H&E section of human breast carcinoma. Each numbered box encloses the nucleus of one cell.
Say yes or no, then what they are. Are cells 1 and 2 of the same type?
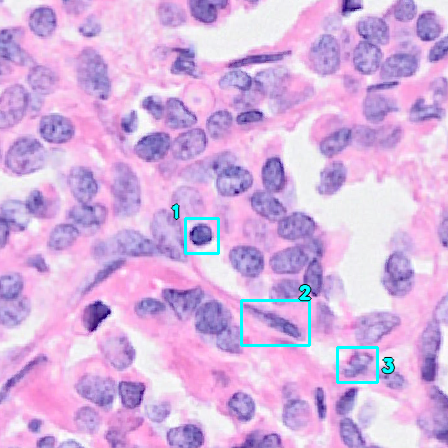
No: cell 1 is a lymphocyte, while cell 2 is an endothelial cell.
